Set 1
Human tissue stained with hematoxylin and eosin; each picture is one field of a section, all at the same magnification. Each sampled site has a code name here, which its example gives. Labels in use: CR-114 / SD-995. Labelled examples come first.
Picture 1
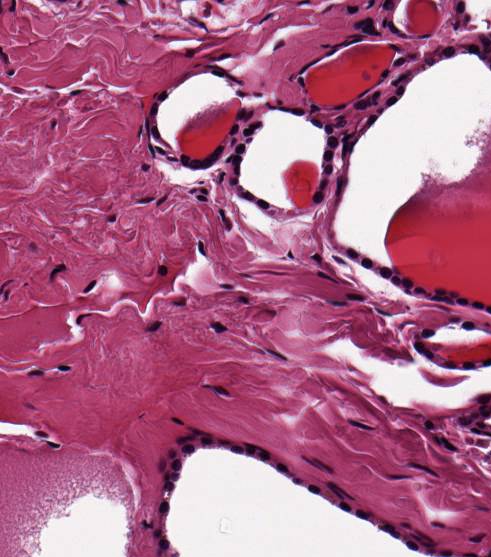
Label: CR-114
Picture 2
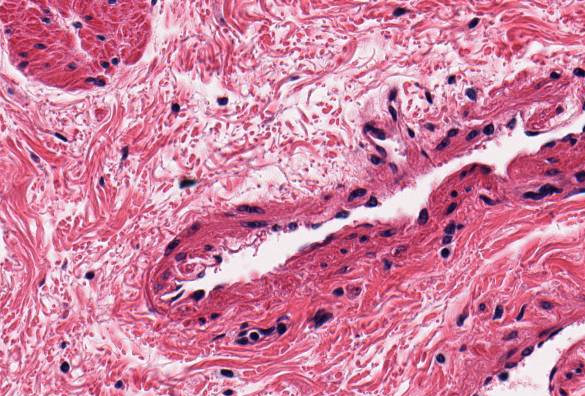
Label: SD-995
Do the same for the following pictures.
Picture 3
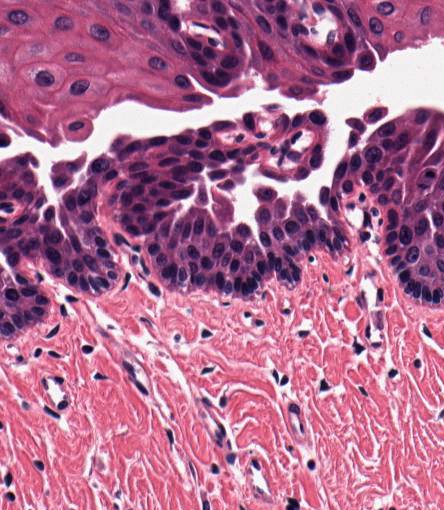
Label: SD-995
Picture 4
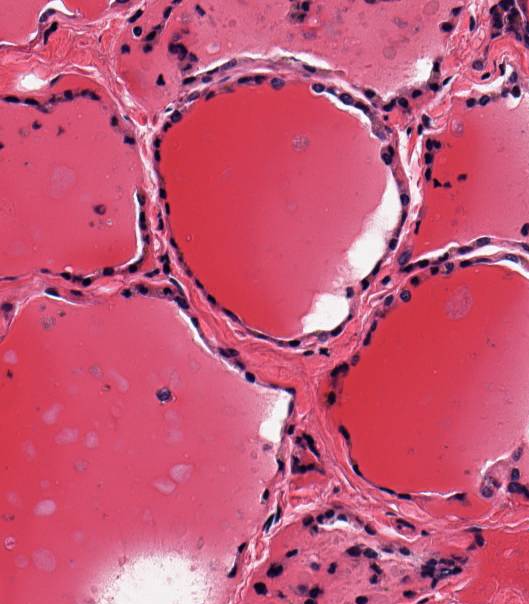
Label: CR-114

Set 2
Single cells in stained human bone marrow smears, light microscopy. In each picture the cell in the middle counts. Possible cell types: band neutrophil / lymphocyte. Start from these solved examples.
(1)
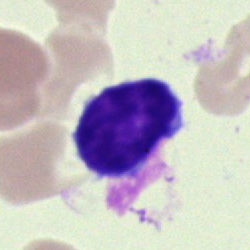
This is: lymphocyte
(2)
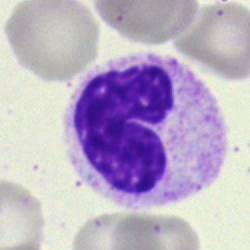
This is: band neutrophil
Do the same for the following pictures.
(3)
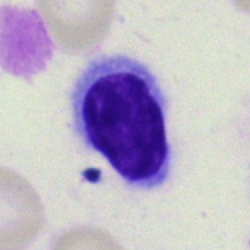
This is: lymphocyte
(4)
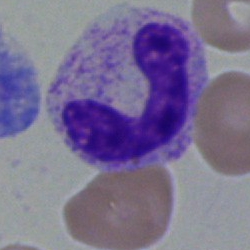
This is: band neutrophil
